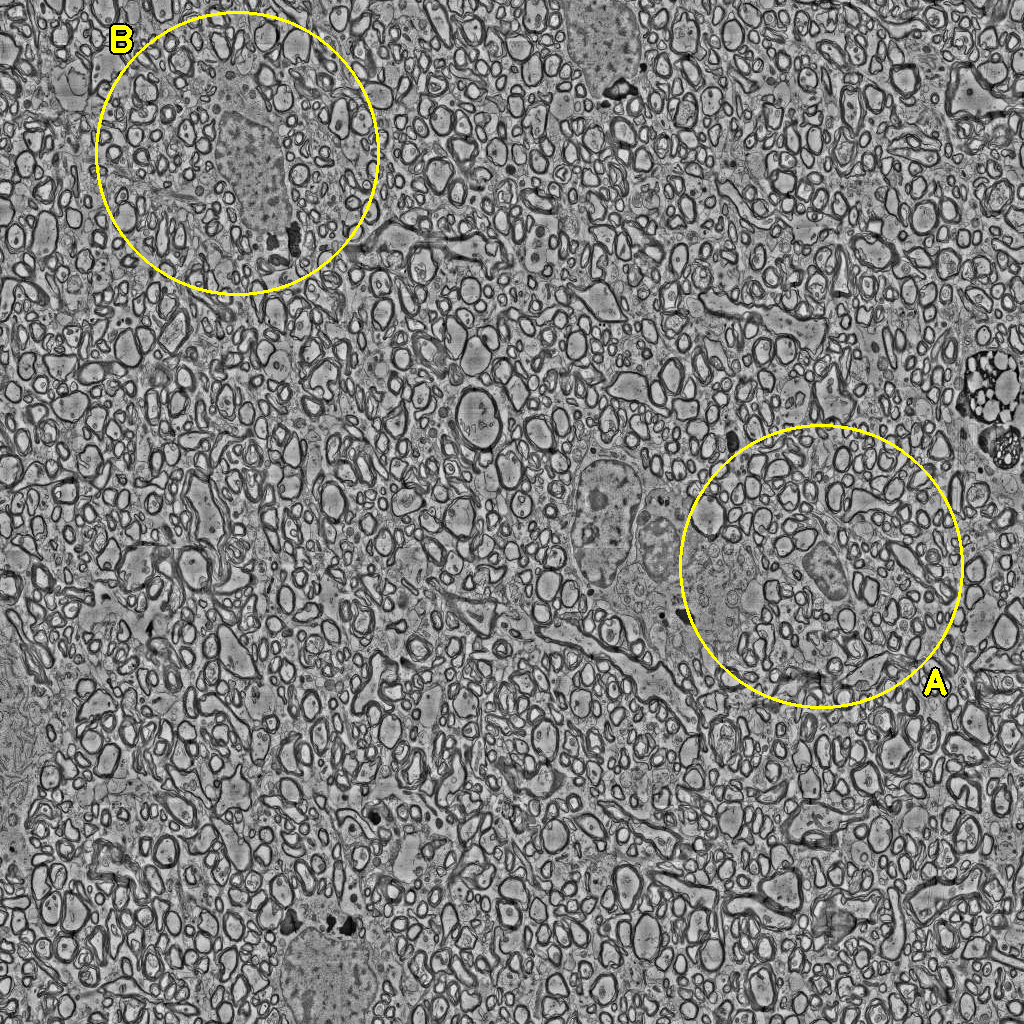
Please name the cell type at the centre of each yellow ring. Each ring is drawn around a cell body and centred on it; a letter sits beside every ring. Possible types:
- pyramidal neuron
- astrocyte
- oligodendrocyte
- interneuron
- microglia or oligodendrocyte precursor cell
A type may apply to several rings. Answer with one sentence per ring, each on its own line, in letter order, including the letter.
Ring A is centred on the cell body of a microglial cell or oligodendrocyte precursor cell.
Ring B is centred on the cell body of an oligodendrocyte.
